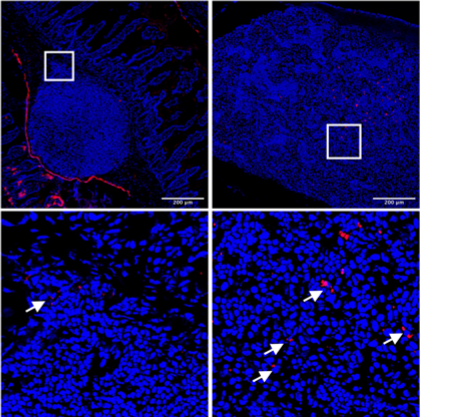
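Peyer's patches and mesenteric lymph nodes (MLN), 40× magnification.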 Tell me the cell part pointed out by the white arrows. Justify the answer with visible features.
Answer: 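The arrows point to small red dots. The red dots sit right beside blue nuclei.
Perinuclear puncta.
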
